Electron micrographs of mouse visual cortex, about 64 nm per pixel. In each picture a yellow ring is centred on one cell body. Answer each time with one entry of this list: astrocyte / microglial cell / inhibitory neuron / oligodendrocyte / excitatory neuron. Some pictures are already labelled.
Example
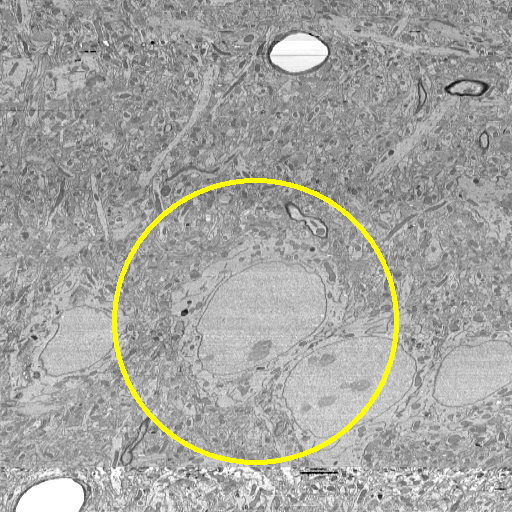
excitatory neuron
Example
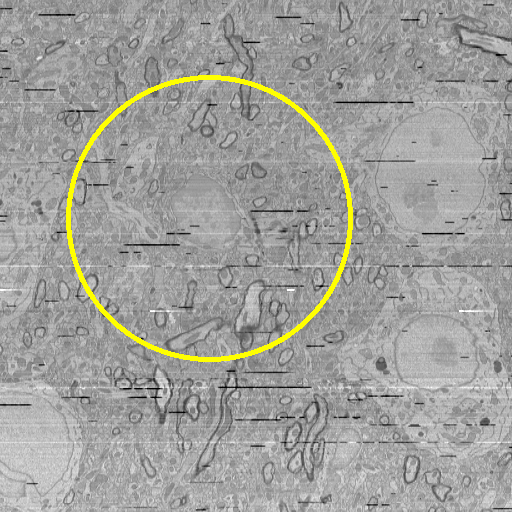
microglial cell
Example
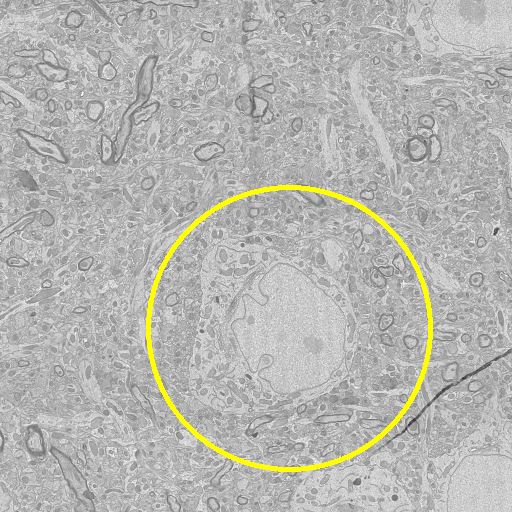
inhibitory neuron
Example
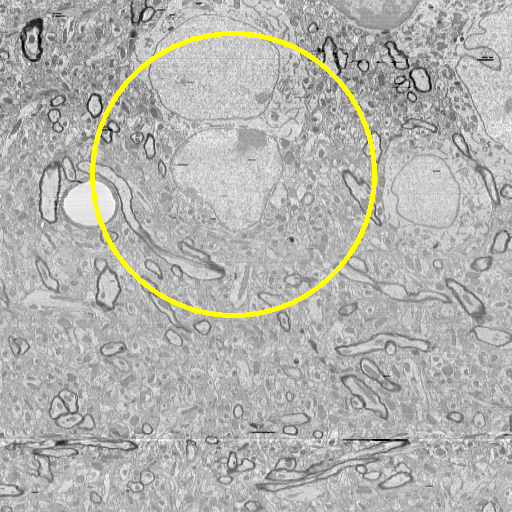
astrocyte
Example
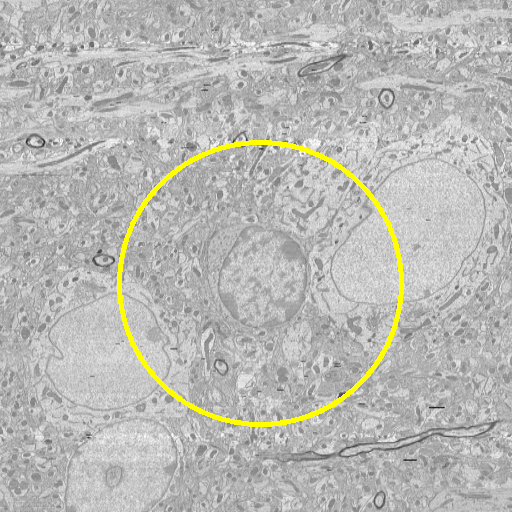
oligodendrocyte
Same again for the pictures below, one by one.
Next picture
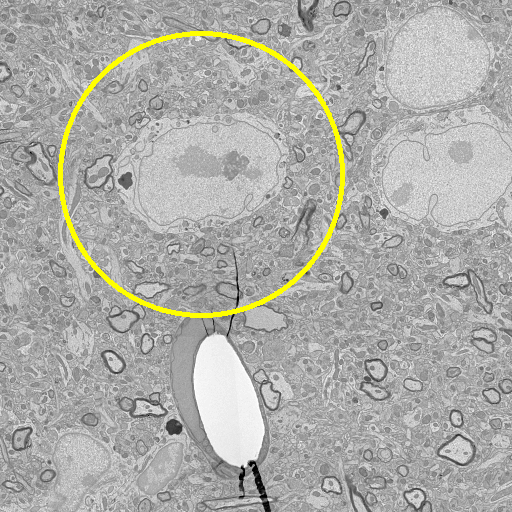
inhibitory neuron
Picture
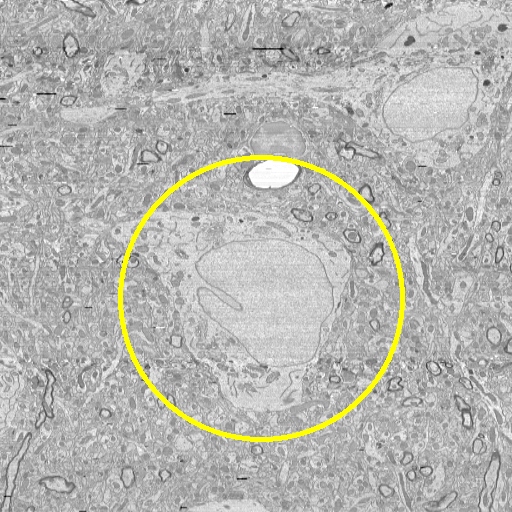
excitatory neuron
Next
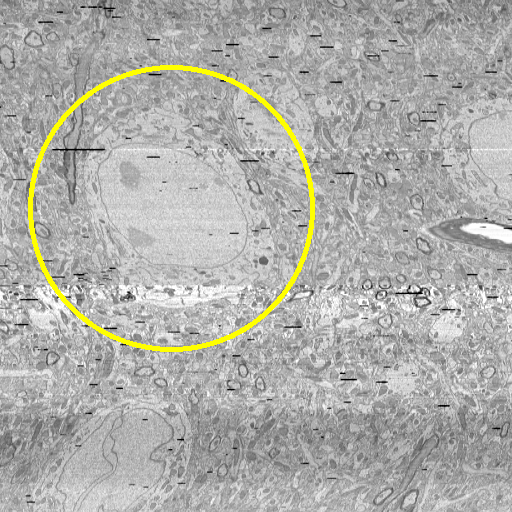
excitatory neuron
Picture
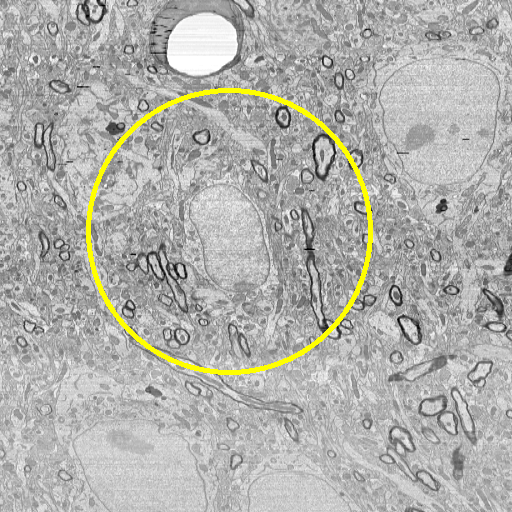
astrocyte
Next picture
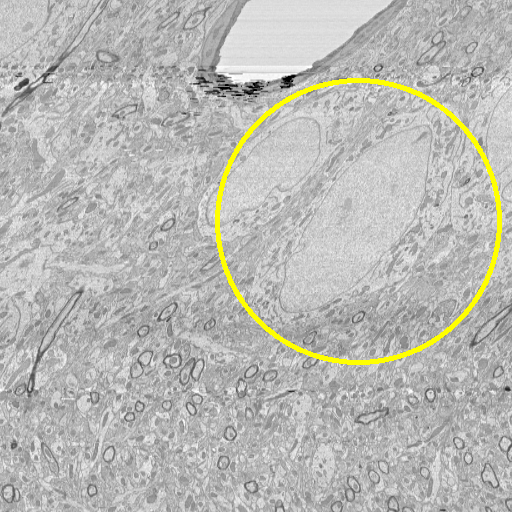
inhibitory neuron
